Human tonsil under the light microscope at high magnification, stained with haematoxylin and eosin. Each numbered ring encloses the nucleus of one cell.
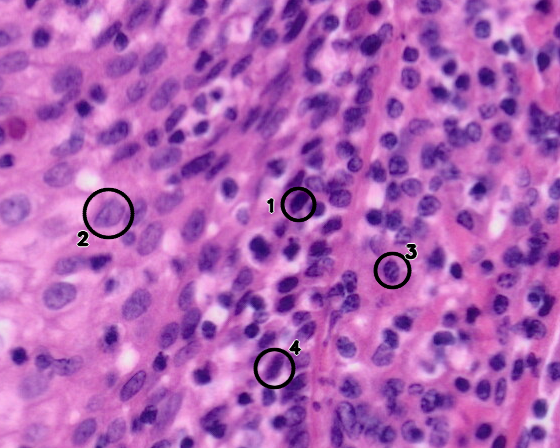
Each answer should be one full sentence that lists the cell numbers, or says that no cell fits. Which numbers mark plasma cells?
Only at number 3 is there a plasma cell.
